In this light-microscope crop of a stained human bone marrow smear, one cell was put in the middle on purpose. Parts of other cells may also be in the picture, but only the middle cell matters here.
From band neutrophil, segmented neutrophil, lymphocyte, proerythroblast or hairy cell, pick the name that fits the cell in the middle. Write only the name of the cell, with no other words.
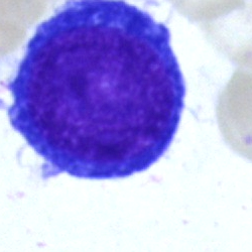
proerythroblast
